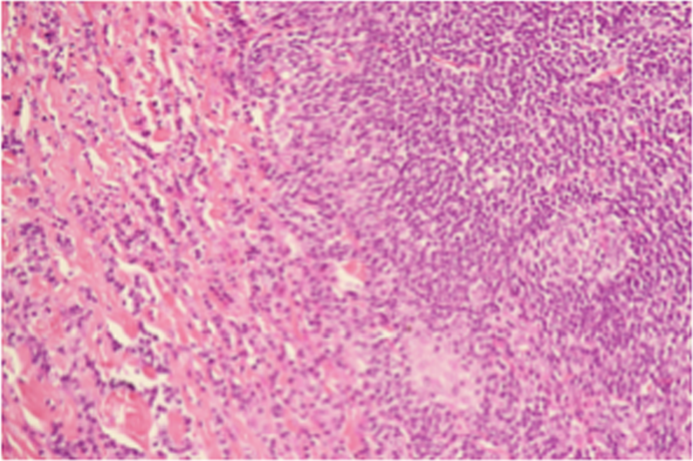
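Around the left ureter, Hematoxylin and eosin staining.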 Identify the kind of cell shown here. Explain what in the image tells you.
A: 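Lymphocytes. Dense sheets of small cells with round, dark purple nuclei. Very little cytoplasm around each nucleus.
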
